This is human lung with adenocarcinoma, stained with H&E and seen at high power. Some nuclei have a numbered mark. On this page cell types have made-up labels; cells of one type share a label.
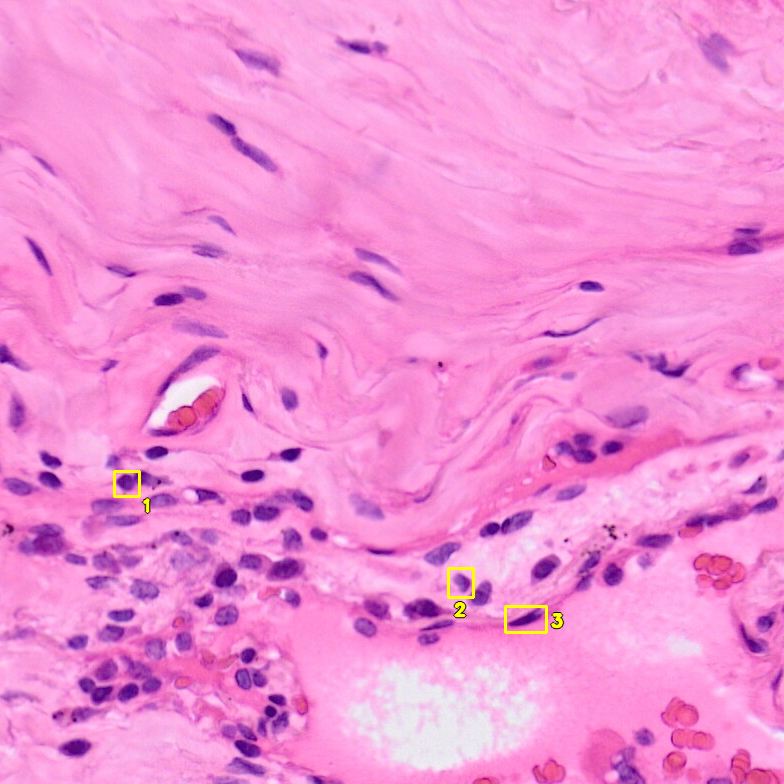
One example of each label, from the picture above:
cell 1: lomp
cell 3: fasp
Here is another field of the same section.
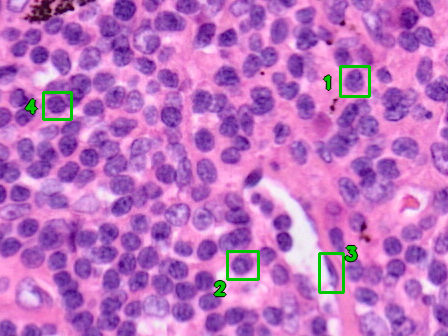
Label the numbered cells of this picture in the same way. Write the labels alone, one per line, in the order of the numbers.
lomp
lomp
fasp
lomp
